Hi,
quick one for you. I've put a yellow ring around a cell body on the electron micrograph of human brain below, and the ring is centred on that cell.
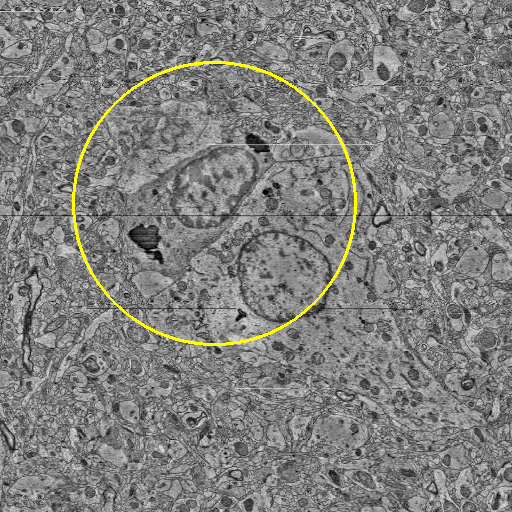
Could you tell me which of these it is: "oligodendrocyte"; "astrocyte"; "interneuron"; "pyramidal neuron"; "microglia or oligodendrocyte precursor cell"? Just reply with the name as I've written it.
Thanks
oligodendrocyte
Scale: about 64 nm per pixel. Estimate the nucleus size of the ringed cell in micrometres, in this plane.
About 6 by 4 micrometers for the nucleus, in this plane.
